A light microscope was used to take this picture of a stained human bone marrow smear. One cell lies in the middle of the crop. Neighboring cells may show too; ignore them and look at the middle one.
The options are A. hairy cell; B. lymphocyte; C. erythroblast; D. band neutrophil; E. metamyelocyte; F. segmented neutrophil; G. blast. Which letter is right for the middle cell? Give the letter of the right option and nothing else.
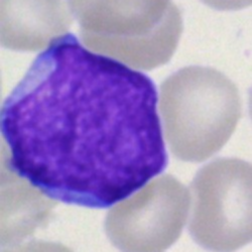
G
